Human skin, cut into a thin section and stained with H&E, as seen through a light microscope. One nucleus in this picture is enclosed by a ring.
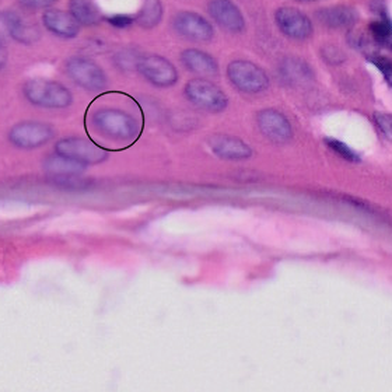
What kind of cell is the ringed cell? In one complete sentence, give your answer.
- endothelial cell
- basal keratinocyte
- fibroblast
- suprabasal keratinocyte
In this section, the ringed cell is a suprabasal keratinocyte.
